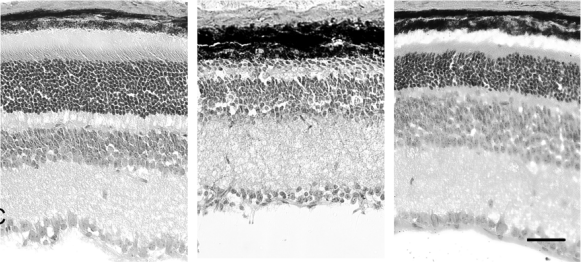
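These are three cross-sections of retina, each layered from the photoreceptor segments at the top down to the ganglion cell layer at the bottom. In the left section a striated zone of photoreceptor segments overlies a thick outer nuclear layer of many rows of small, round, darkly stained nuclei. Below it lie a thin pale plexiform band, a narrower inner nuclear layer, a broad pale fibrous inner plexiform layer, and a single row of ganglion cells. In the middle section the outer zone is a dense, very dark irregular band and the outer nuclear layer is much thinner, with only a few rows of nuclei. The right section keeps more rows of nuclei than the middle one but fewer than the left.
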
